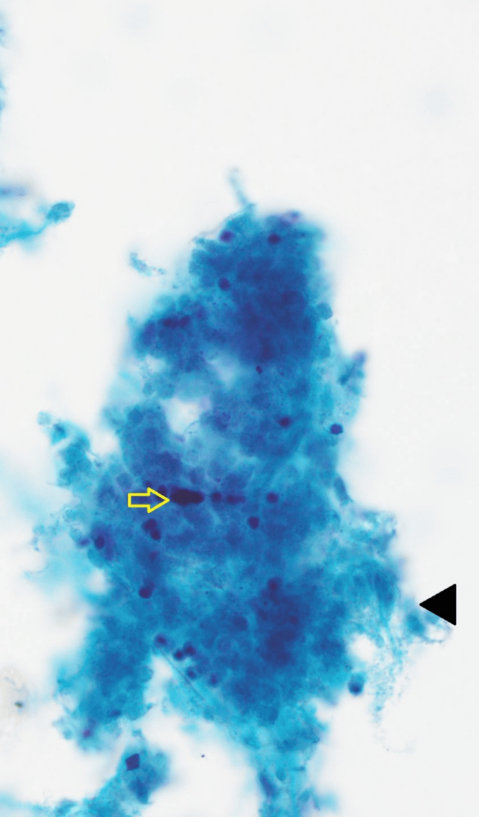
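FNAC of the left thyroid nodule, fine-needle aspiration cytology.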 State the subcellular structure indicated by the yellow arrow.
small hyperchromatic nuclei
